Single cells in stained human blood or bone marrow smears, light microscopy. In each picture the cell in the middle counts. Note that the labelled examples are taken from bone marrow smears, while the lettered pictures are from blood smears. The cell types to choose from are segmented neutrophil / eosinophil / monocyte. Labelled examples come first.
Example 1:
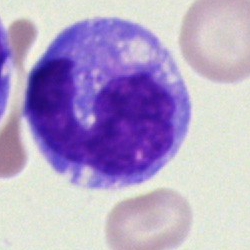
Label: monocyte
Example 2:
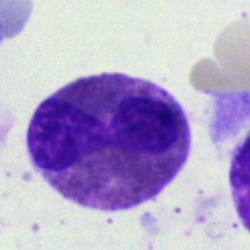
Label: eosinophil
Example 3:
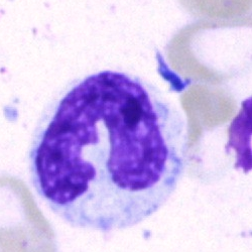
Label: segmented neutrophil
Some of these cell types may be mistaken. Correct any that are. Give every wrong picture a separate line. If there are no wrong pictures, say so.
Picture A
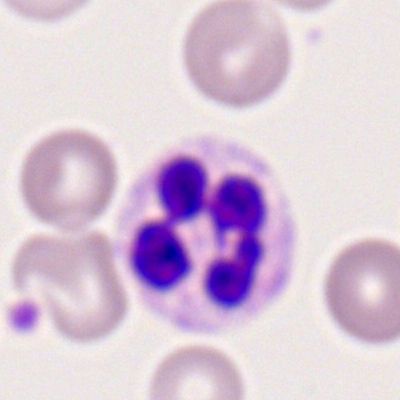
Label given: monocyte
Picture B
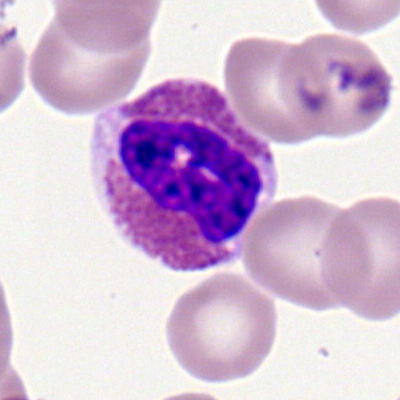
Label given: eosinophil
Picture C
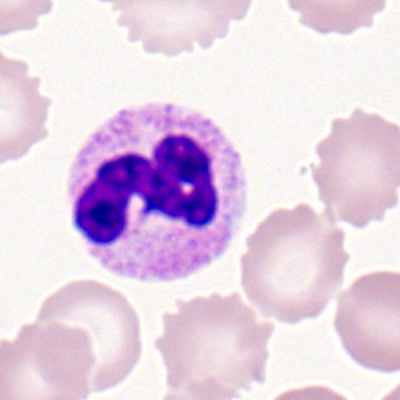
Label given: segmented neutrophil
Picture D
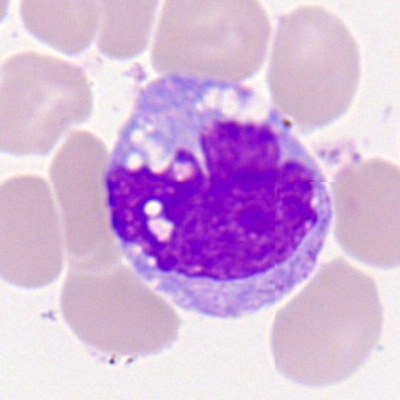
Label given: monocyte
A is labelled monocyte; correct label: segmented neutrophil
